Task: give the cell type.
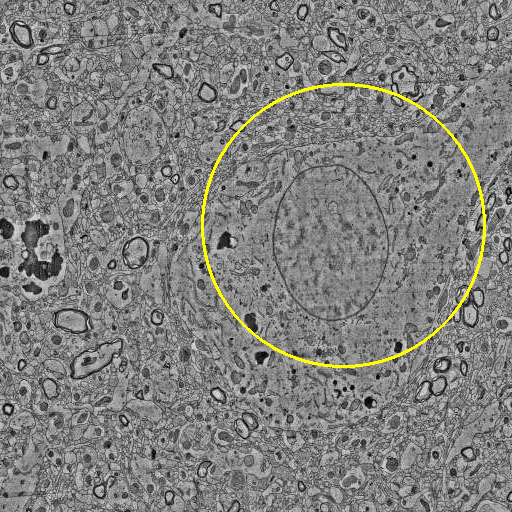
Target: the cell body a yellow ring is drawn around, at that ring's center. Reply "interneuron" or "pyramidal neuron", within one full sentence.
In this picture, the cell whose body lies at the ring's center is a pyramidal neuron.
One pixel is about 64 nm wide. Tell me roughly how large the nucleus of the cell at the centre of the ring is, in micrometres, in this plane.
In this plane the nucleus is about 10 micrometres by 8.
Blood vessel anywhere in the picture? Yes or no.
No, none is visible.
